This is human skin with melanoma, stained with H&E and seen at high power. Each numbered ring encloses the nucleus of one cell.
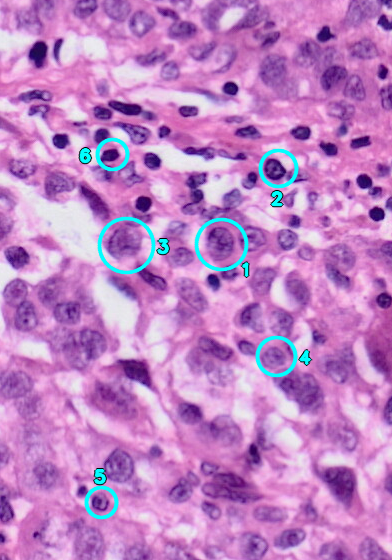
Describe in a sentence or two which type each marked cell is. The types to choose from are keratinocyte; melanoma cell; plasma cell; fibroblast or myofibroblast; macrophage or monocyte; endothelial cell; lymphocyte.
Cell 1 is a melanoma cell, cell 2 is a plasma cell, cell 3 is a melanoma cell, cell 4 is a melanoma cell, cell 5 is a macrophage or monocyte and cell 6 is a lymphocyte.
